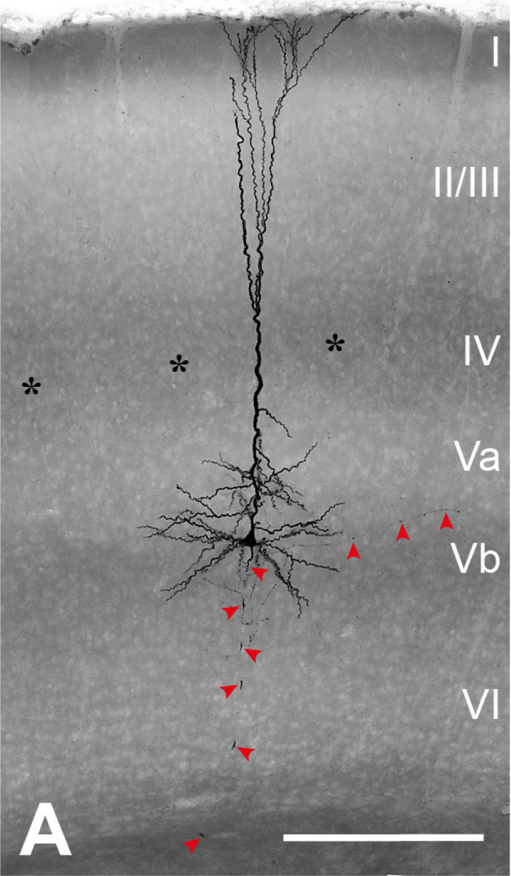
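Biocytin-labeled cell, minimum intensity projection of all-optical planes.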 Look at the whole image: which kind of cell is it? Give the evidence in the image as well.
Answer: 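Pyramidal cell. A single dark-filled cell with a triangular soma. A long thick apical dendrite rises vertically to the top layer and tufts there. Many basal dendrites radiate around the soma.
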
